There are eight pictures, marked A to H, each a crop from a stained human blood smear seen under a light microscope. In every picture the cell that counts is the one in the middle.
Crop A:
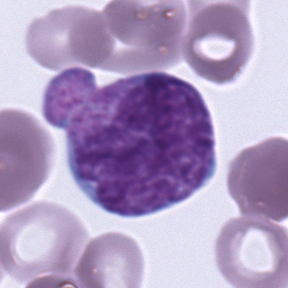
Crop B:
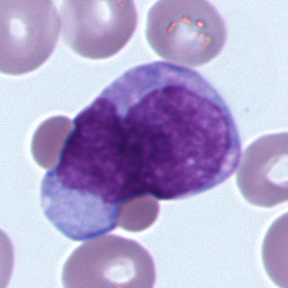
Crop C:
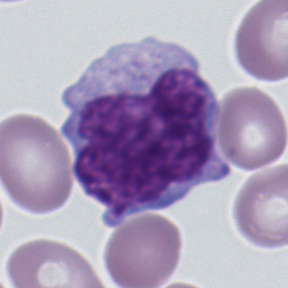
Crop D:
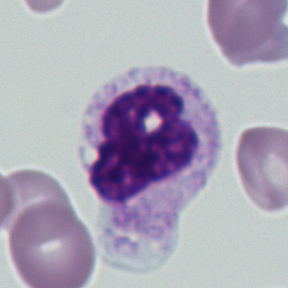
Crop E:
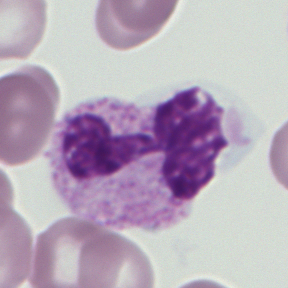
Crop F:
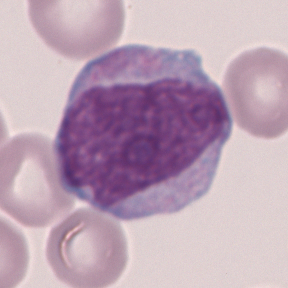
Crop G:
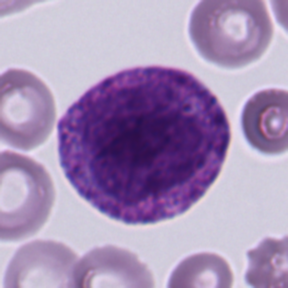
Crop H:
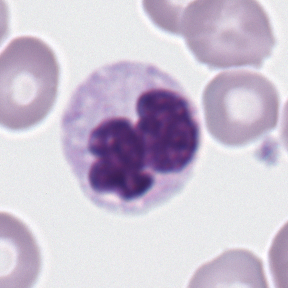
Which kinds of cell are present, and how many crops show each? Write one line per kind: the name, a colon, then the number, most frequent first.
atypical promyelocyte: 5
segmented neutrophil: 3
